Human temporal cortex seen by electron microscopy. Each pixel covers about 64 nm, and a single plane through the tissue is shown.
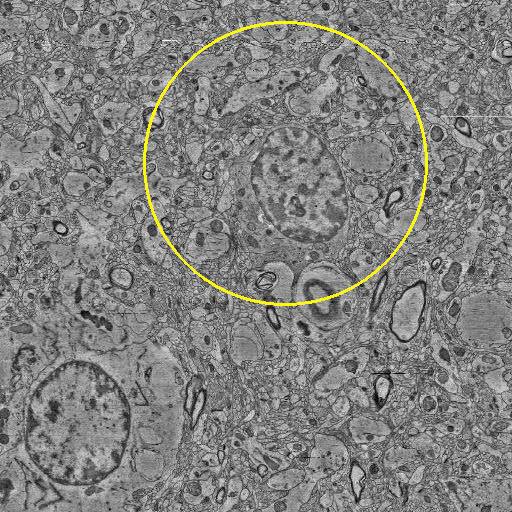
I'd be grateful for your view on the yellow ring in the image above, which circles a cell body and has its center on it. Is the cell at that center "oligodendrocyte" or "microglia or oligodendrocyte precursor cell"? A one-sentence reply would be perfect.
The cell at the center of the yellow ring is an oligodendrocyte.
